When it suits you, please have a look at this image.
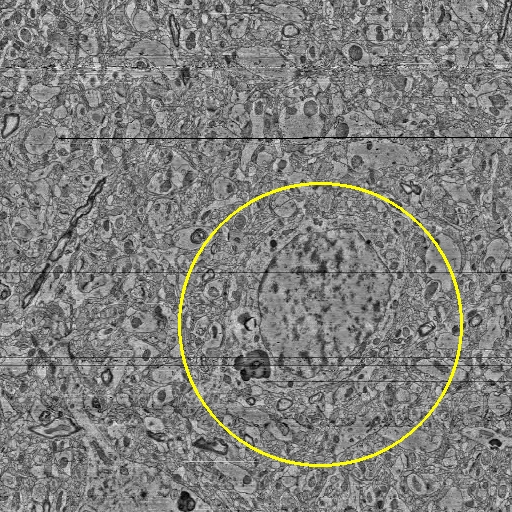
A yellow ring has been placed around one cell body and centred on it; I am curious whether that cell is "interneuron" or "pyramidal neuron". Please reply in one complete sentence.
The ringed cell, an interneuron, has its body at the centre of the yellow ring.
